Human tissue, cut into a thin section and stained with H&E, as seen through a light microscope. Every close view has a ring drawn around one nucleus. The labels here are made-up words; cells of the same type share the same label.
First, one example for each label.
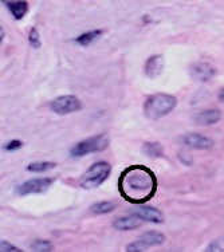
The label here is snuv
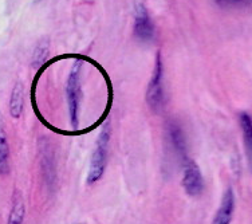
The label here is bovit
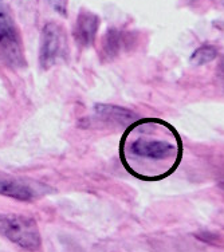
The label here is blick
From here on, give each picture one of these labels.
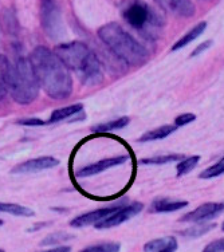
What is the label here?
bovit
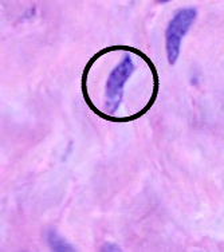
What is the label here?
bovit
